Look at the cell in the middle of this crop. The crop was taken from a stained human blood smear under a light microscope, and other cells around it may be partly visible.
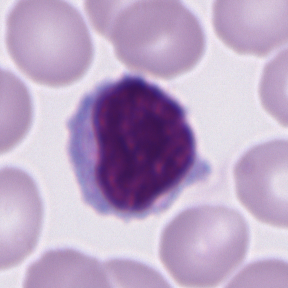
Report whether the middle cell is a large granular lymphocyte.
no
